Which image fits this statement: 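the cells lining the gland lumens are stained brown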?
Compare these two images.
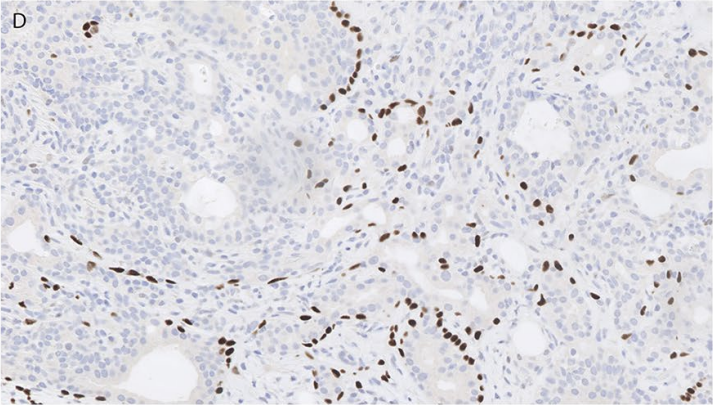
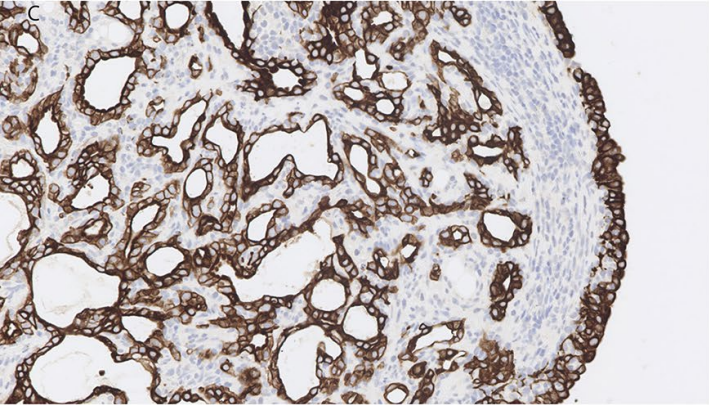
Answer: The second image.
